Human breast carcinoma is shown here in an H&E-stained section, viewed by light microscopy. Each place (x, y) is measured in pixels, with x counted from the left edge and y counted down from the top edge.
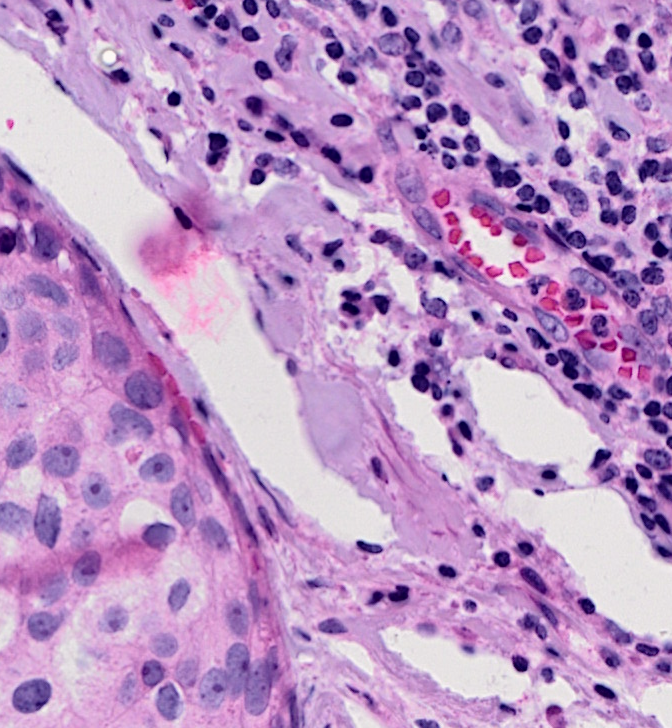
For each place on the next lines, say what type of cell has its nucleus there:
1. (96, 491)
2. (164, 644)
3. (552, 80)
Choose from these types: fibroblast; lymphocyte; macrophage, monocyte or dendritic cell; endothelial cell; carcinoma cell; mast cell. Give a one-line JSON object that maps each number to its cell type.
{"1": "carcinoma cell", "2": "carcinoma cell", "3": "lymphocyte"}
